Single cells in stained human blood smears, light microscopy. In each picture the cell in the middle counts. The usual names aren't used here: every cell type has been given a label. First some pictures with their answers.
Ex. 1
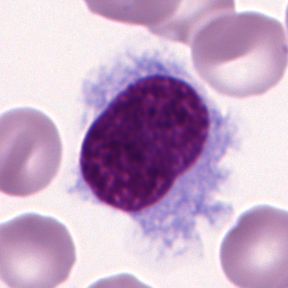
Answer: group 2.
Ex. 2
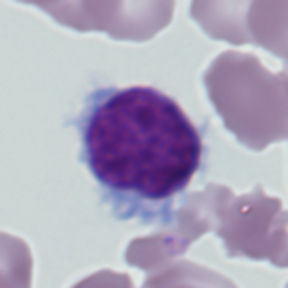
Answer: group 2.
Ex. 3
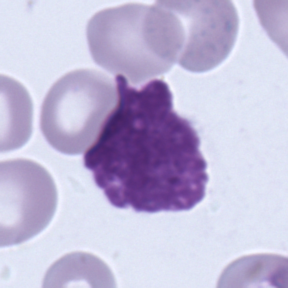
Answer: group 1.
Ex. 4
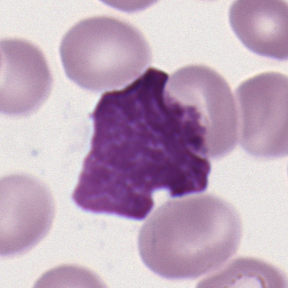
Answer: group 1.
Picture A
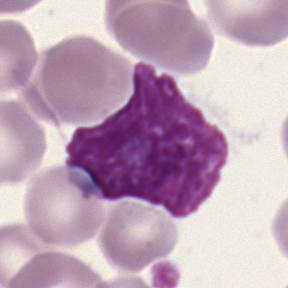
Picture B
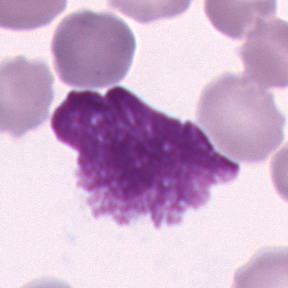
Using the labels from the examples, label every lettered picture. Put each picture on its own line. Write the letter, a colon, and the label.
A: group 1.
B: group 1.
